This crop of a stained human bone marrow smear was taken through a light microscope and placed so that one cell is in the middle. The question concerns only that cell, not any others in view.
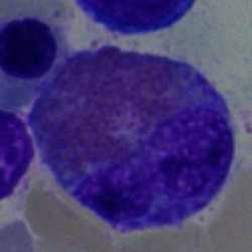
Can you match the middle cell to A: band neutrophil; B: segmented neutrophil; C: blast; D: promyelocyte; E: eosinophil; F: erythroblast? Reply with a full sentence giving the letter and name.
The correct option here is E; the middle cell is an eosinophil.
